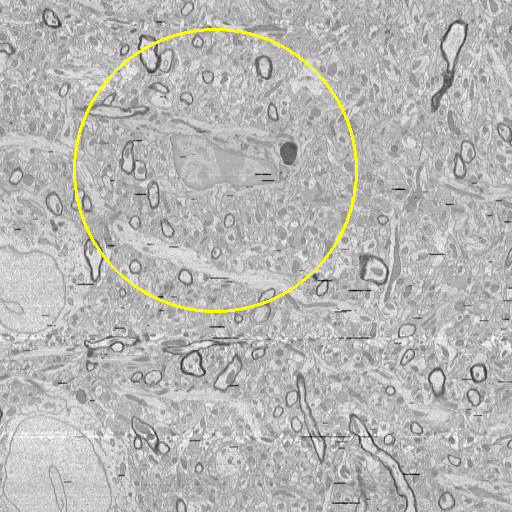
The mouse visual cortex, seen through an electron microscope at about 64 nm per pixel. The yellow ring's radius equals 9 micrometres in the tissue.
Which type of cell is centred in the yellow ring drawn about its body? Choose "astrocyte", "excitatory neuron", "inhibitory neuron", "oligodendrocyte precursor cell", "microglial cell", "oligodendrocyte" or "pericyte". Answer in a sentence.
The yellow ring surrounds the cell body of a microglial cell.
